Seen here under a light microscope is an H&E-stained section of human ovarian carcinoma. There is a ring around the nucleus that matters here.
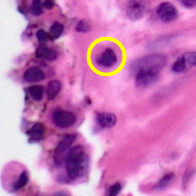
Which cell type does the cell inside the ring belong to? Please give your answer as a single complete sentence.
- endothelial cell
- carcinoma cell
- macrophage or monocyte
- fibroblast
For cell typing purposes, the cell inside the ring is a macrophage or monocyte.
